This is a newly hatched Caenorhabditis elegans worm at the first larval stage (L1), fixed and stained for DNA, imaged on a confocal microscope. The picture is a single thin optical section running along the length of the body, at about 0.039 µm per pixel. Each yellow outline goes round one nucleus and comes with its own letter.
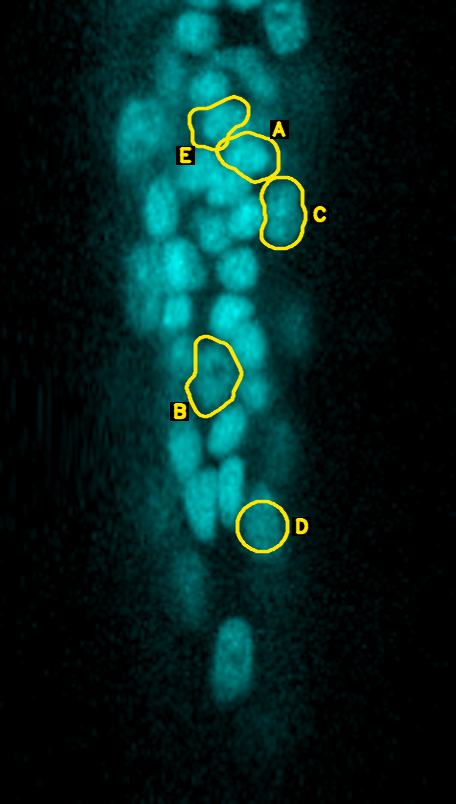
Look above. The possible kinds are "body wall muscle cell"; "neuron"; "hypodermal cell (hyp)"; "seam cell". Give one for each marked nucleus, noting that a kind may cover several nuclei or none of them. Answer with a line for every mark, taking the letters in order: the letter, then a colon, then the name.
A: neuron
B: seam cell
C: body wall muscle cell
D: body wall muscle cell
E: neuron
